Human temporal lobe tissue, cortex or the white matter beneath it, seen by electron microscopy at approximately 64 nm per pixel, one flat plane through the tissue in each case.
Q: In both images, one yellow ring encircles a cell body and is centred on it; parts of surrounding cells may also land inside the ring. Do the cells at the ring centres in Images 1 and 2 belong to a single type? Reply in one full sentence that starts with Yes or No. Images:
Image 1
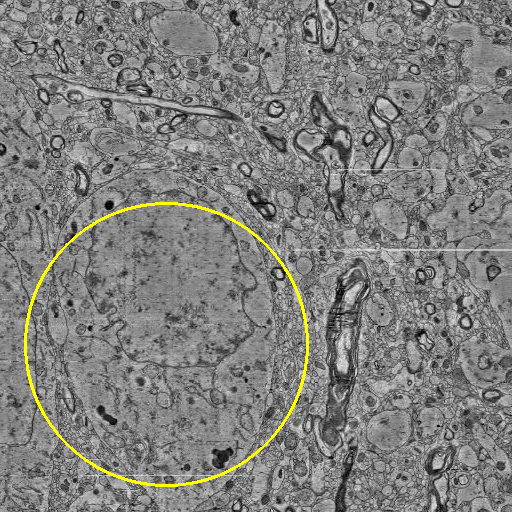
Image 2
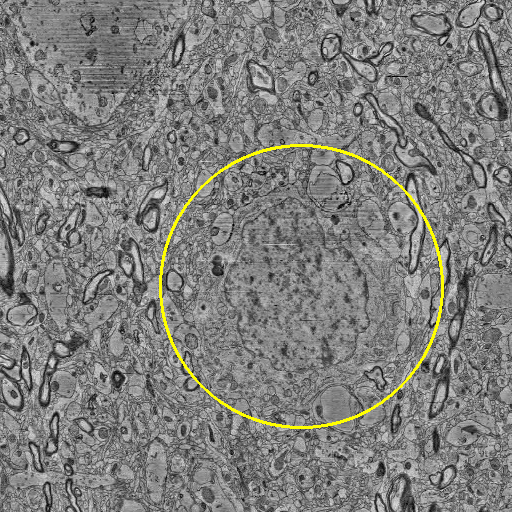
Yes, the cells at the ring centres in Images 1 and 2 are of a single type.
